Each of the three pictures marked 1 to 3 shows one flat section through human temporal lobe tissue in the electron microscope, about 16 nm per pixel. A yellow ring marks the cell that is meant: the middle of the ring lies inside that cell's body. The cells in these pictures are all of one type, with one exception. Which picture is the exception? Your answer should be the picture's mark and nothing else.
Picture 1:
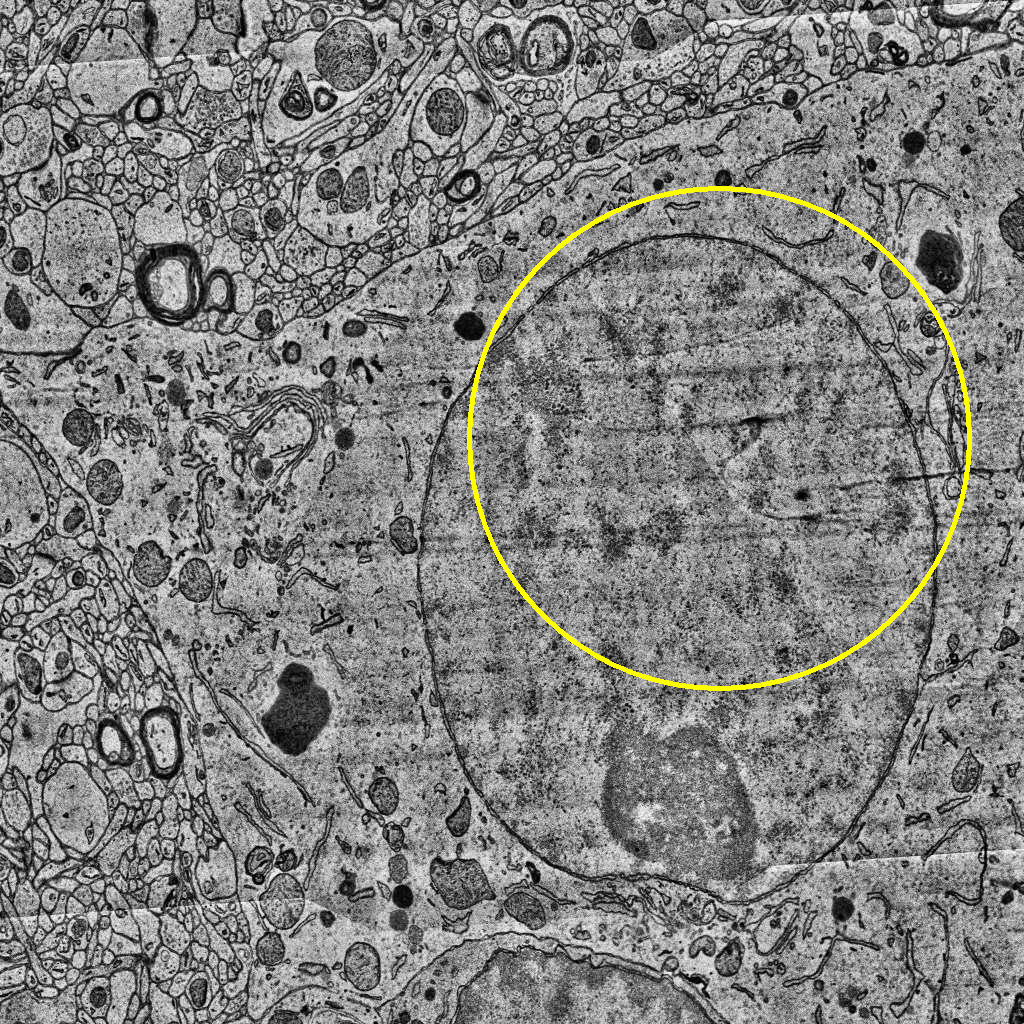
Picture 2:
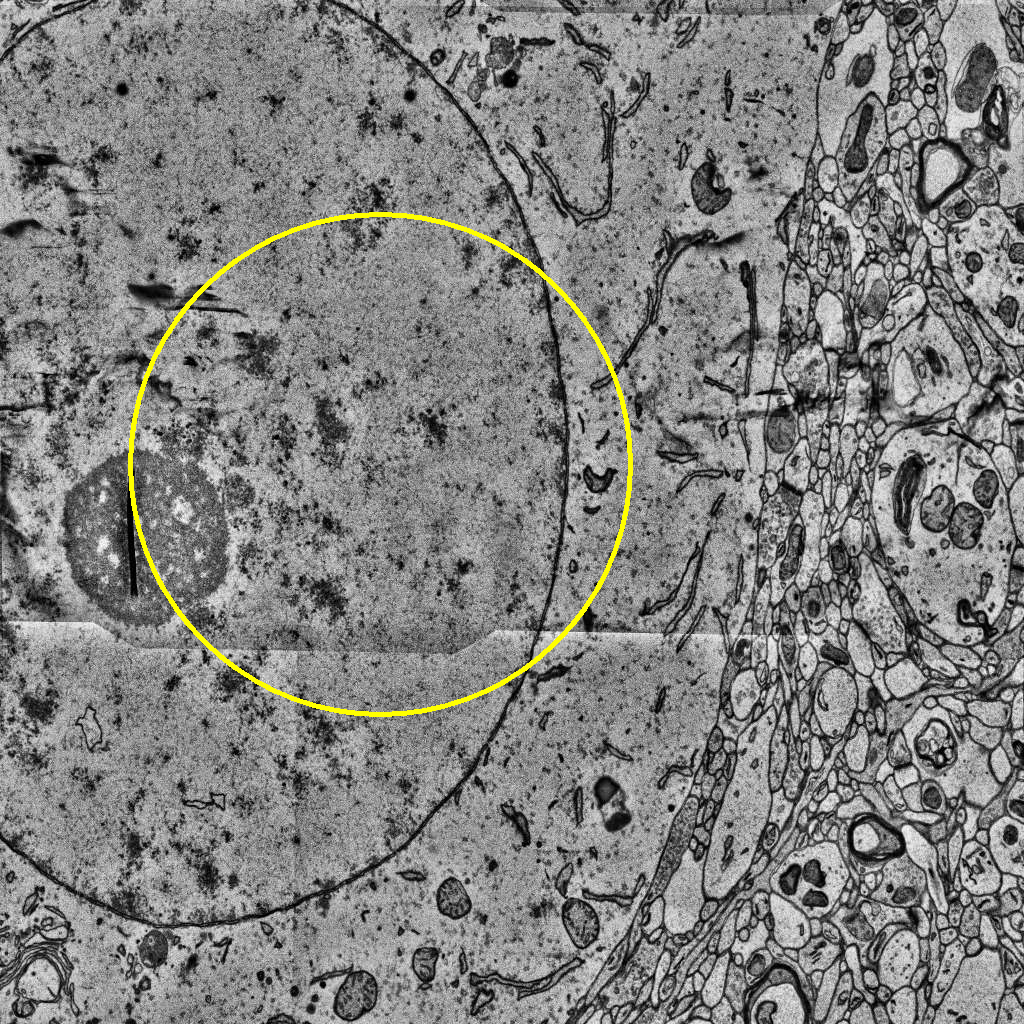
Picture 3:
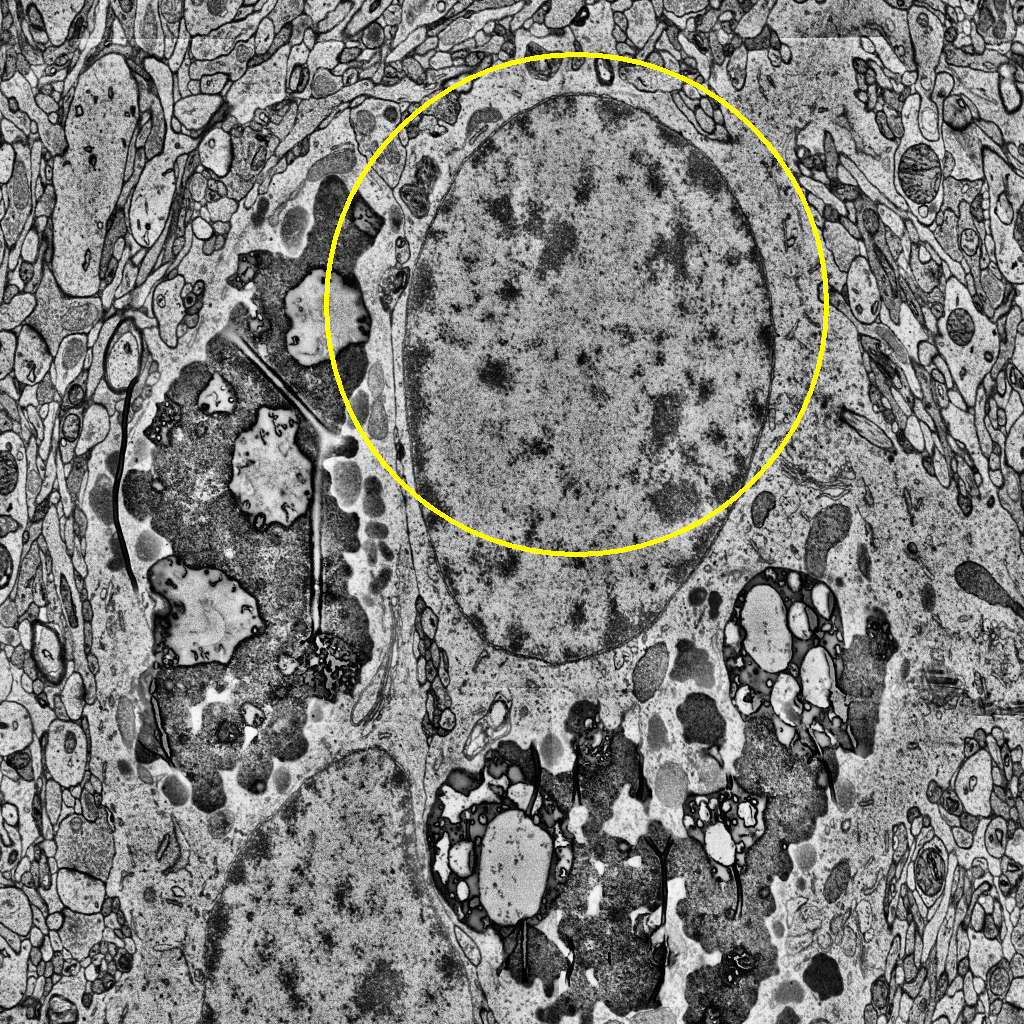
3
